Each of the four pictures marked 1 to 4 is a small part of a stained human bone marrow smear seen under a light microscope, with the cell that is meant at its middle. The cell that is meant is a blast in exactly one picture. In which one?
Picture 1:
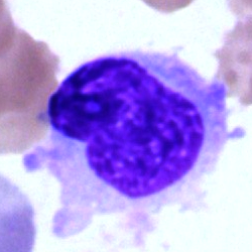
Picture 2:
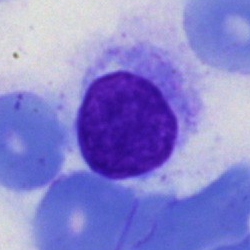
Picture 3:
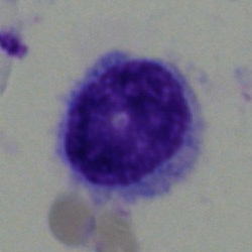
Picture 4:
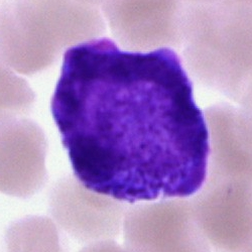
4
